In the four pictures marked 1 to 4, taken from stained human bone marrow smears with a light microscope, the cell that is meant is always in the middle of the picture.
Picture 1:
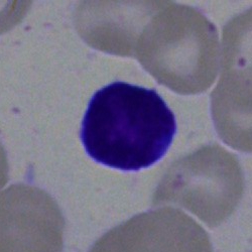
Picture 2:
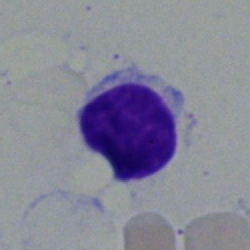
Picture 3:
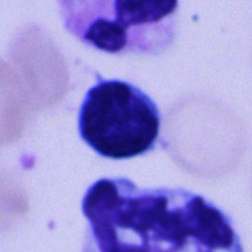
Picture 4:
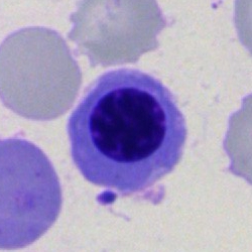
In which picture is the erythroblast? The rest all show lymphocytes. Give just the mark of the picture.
4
